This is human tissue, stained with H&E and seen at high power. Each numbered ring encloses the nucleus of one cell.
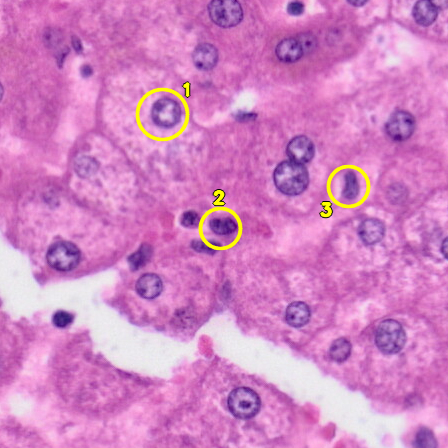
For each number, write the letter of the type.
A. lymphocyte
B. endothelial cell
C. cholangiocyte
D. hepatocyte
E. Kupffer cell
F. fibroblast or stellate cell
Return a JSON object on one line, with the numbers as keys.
{"1": "D", "2": "E", "3": "E"}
